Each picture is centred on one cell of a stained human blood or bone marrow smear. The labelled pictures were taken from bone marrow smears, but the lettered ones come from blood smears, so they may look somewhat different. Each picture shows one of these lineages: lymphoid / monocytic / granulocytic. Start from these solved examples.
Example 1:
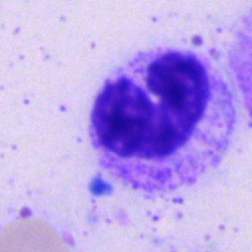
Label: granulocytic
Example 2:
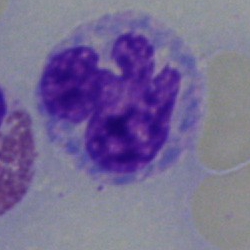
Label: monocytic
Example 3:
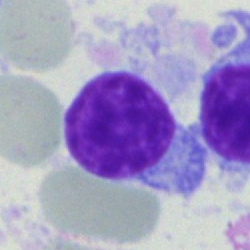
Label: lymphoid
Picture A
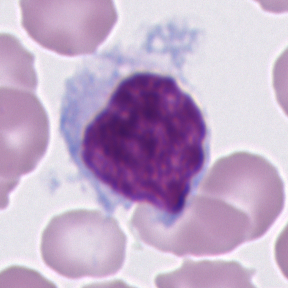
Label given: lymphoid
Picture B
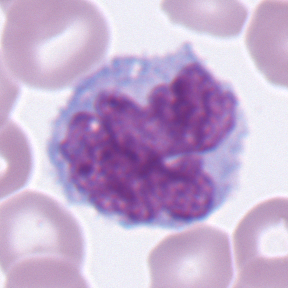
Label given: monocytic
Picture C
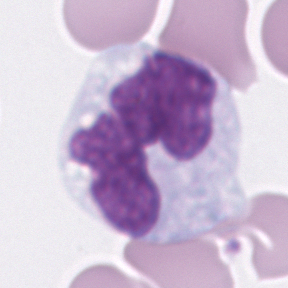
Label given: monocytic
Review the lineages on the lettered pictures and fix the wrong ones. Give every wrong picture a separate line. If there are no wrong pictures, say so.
All labels are correct.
